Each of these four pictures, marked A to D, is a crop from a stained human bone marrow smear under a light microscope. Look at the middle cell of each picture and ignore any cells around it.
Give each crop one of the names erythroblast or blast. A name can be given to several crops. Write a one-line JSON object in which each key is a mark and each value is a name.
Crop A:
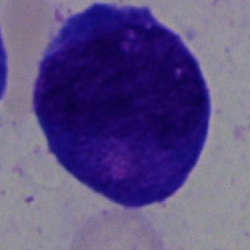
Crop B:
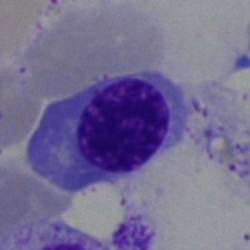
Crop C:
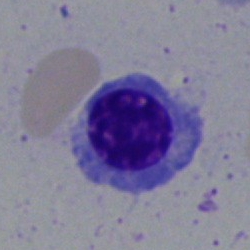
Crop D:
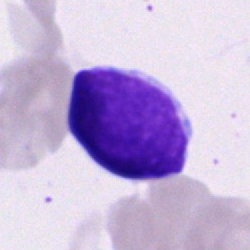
{"A": "blast", "B": "erythroblast", "C": "erythroblast", "D": "blast"}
